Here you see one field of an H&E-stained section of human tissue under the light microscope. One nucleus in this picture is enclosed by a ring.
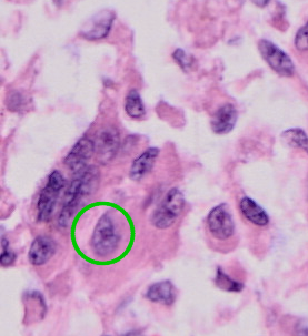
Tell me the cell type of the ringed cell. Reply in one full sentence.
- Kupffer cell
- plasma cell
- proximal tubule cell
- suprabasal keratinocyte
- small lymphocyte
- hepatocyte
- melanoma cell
So far as cell type goes, the ringed cell is a melanoma cell.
